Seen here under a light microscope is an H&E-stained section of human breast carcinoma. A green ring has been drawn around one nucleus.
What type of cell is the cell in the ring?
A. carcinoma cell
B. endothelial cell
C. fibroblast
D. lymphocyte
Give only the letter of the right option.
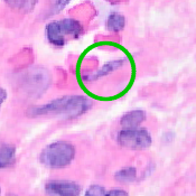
B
